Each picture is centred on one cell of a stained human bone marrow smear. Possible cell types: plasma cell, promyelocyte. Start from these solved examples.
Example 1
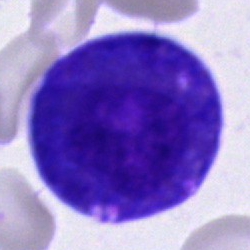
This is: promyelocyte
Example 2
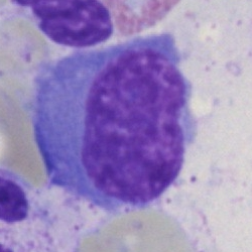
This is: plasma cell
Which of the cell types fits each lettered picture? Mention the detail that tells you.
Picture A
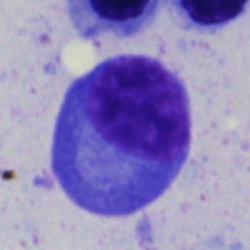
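plasma cell. Evidence: The chromatin is dark purple and coarsely clumped.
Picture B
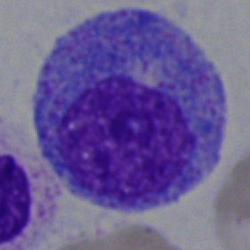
promyelocyte. Evidence: The chromatin is finely stippled rather than clumped.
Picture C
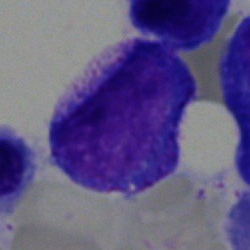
promyelocyte. Evidence: The chromatin looks fine and evenly spread rather than coarsely clumped.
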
